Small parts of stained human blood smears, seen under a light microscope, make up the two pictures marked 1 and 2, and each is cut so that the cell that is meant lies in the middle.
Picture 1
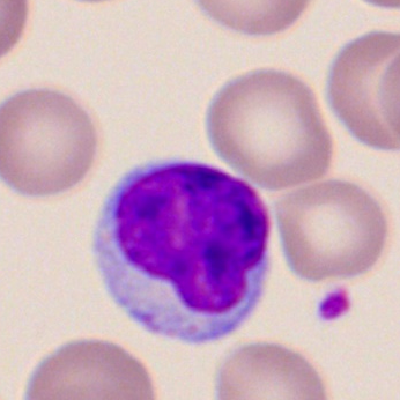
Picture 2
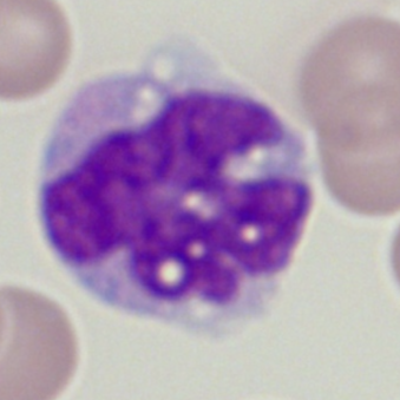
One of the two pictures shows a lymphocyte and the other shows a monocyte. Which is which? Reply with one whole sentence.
It is picture 1 that shows a lymphocyte, and picture 2 that shows a monocyte.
